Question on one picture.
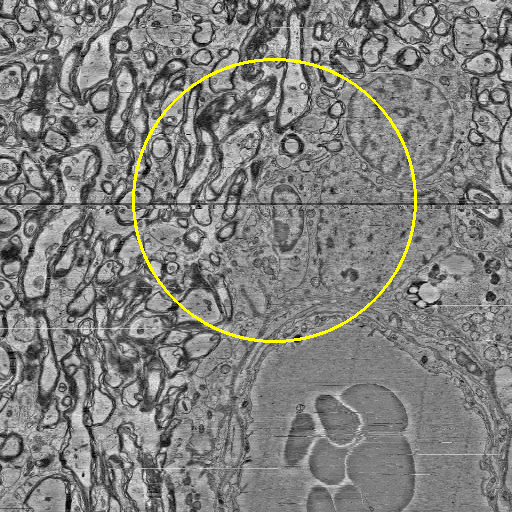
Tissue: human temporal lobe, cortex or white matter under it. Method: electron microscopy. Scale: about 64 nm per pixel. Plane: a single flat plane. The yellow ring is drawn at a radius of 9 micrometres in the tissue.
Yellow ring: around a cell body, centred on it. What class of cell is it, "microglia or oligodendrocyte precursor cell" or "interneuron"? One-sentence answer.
This is a microglial cell or oligodendrocyte precursor cell, the cell the ring is centred on.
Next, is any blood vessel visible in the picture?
Yes, there is a blood vessel in the image.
